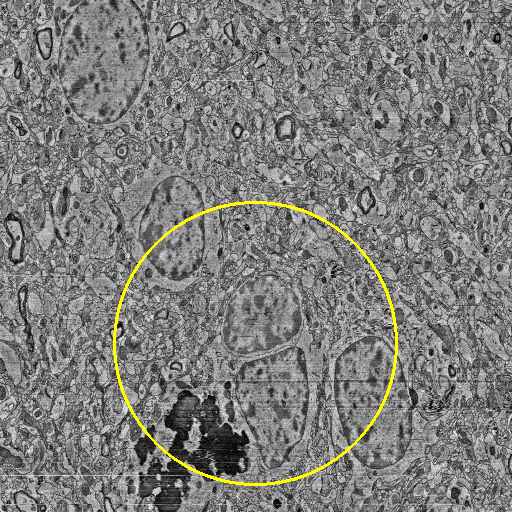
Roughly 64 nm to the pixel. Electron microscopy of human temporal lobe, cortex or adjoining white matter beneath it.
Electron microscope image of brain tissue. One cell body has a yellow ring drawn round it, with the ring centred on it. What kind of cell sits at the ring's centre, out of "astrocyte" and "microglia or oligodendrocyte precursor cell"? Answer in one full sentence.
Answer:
It is a microglial cell or oligodendrocyte precursor cell whose cell body sits at the centre of the yellow ring.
